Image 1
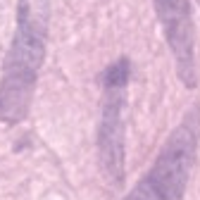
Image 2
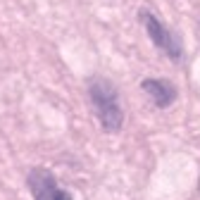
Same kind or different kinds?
Same: vascular myocytes.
